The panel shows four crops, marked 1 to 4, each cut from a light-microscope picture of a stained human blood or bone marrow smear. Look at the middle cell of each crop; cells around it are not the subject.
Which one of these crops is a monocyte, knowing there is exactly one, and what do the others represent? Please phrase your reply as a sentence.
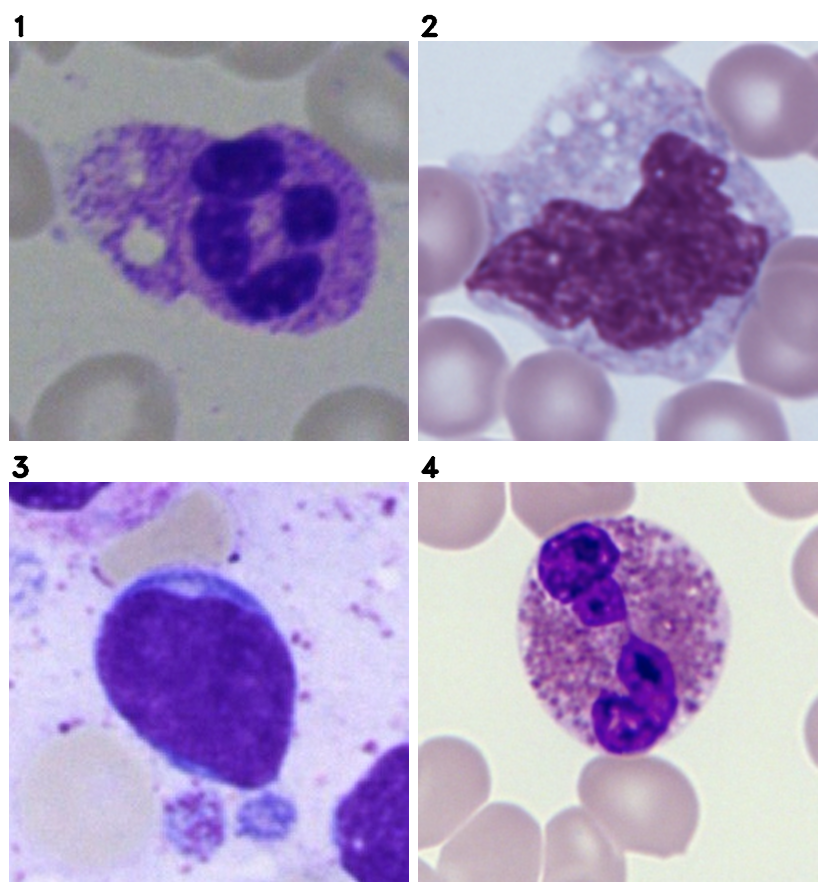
In crop 2 the cell shown is a monocyte, and crop 1 is a segmented neutrophil, crop 3 is a blast and crop 4 is an eosinophil.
